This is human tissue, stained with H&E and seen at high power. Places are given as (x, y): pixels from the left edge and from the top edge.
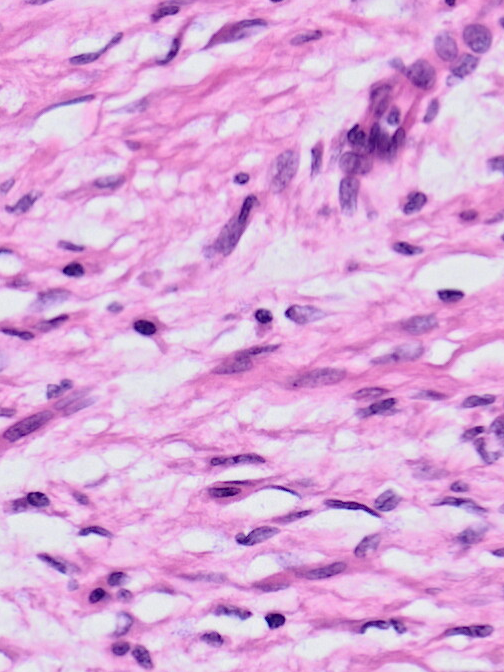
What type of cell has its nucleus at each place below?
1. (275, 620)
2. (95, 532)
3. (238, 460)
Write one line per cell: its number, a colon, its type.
1: lymphocyte
2: fibroblast or myofibroblast
3: fibroblast or myofibroblast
